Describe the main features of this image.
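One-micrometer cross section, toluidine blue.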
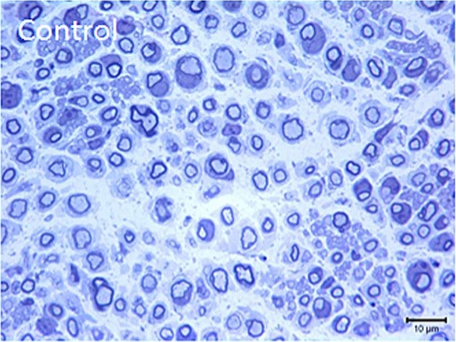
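The fibers are fairly widely spaced within a pale blue background of connective tissue, which leaves open areas between groups of fibers. Several larger round profiles have a darker, more homogeneously stained centre. Small grey-blue profiles and clusters lie between the myelinated fibers. Overall the field holds fewer fibers per area than a densely packed nerve.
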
